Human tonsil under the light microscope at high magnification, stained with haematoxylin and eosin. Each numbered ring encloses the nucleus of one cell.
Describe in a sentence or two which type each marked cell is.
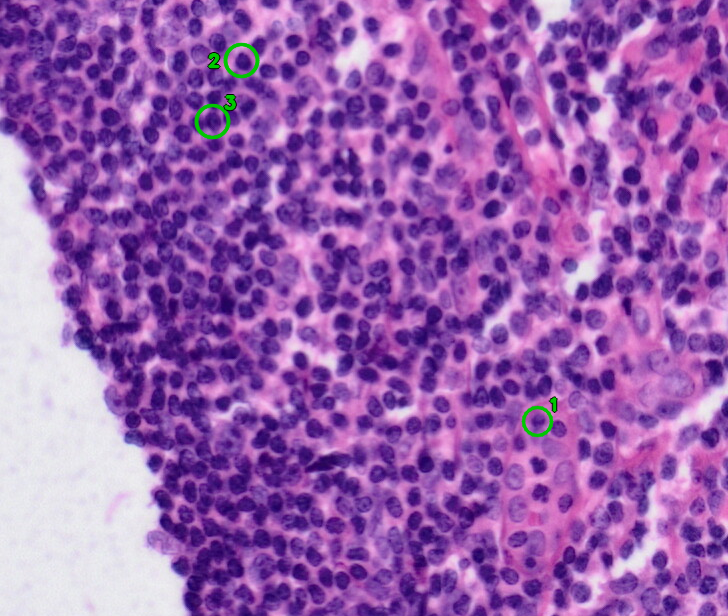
Cell 1 is an endothelial cell, cell 2 is a small lymphocyte and cell 3 is a small lymphocyte.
